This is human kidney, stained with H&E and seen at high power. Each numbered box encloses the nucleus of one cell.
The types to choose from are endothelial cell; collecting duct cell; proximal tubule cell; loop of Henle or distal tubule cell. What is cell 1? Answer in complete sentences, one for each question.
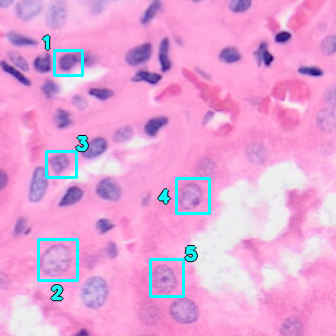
Looking at the numbered marks, cell 1 is a collecting duct cell.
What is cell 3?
The cell referenced by the number 3 is a collecting duct cell in this field.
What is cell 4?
Corresponding to a proximal tubule cell is the cell labelled 4.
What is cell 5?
Heads up, the cell numbered 5 is a proximal tubule cell.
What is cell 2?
Numbered cell 2 is a proximal tubule cell in this tissue section.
